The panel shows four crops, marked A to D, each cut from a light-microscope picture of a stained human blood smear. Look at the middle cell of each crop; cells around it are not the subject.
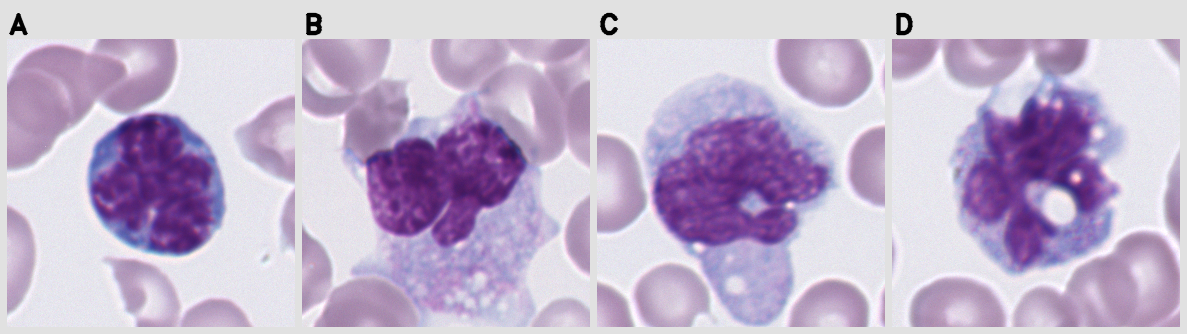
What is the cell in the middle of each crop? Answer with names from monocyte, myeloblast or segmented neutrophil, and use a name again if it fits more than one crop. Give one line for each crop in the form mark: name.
A: myeloblast
B: monocyte
C: monocyte
D: monocyte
